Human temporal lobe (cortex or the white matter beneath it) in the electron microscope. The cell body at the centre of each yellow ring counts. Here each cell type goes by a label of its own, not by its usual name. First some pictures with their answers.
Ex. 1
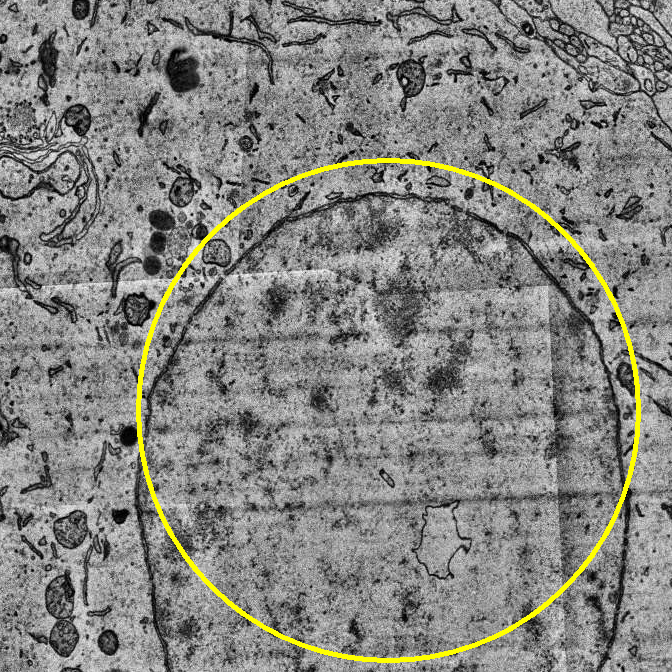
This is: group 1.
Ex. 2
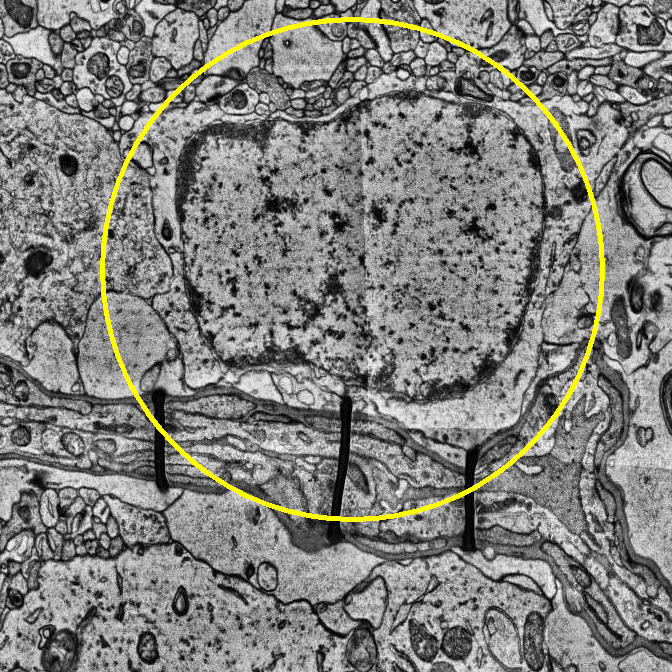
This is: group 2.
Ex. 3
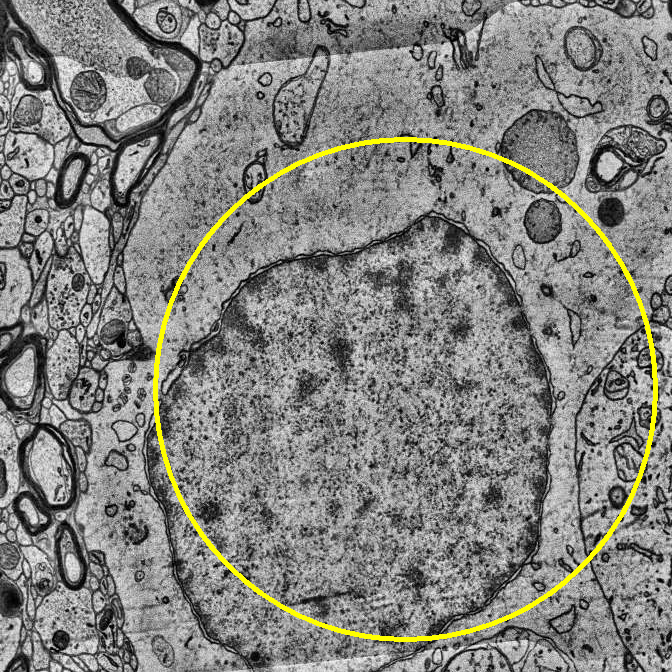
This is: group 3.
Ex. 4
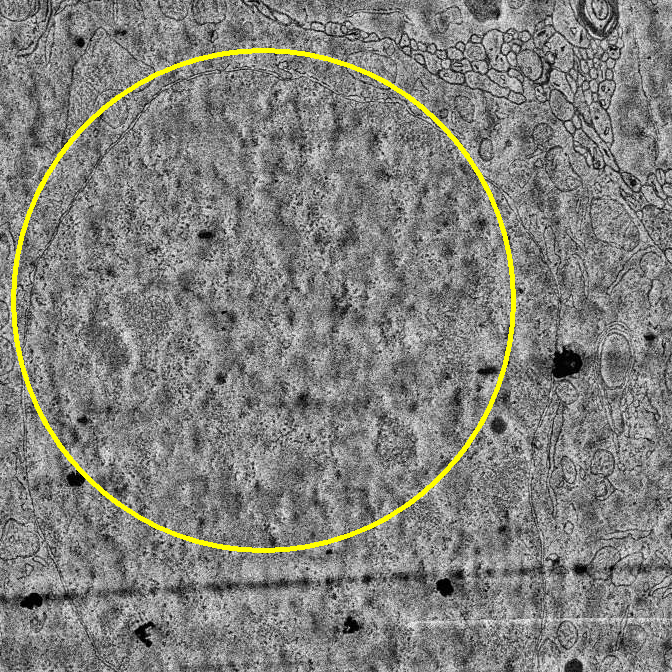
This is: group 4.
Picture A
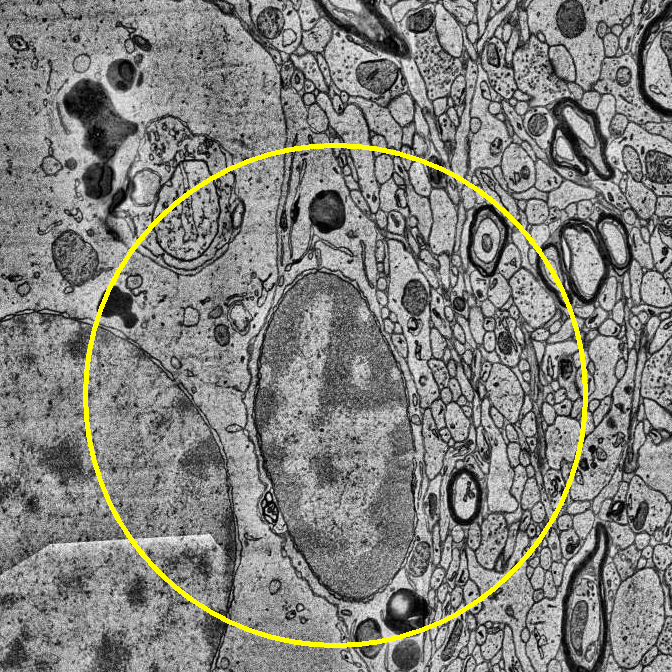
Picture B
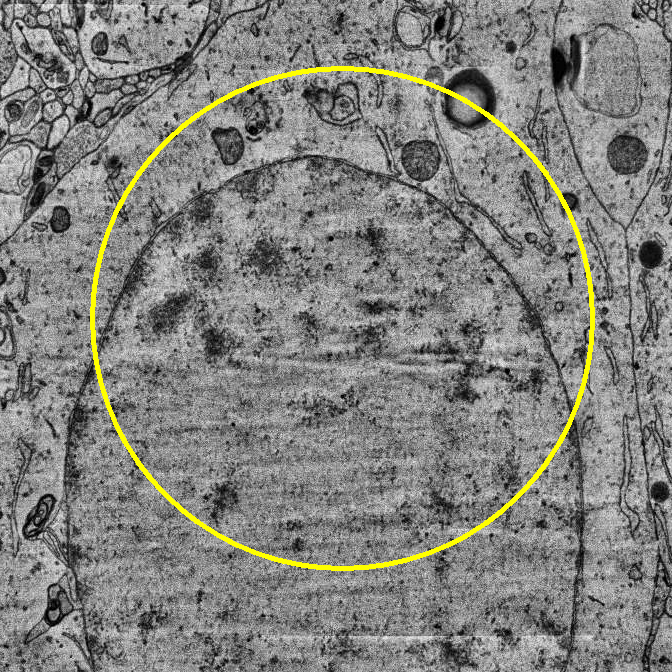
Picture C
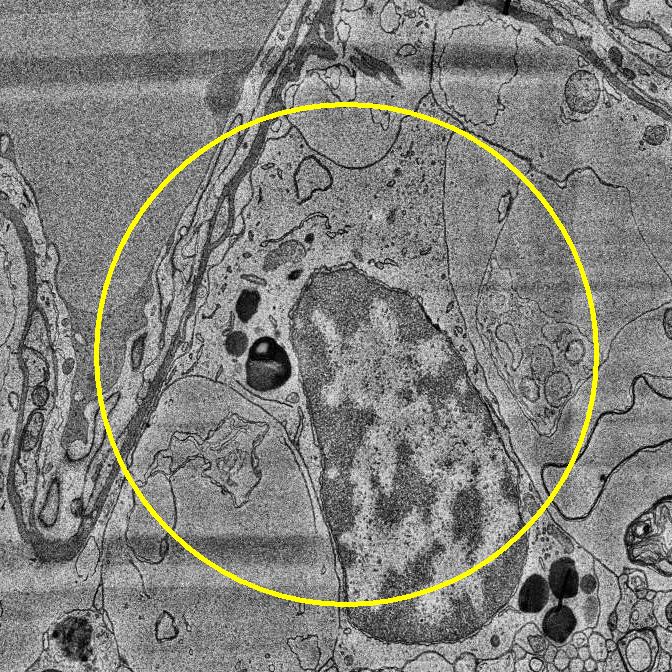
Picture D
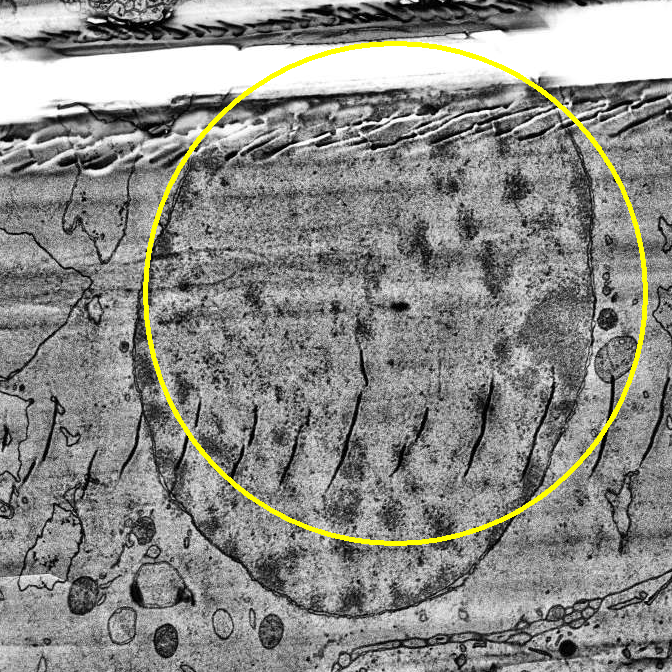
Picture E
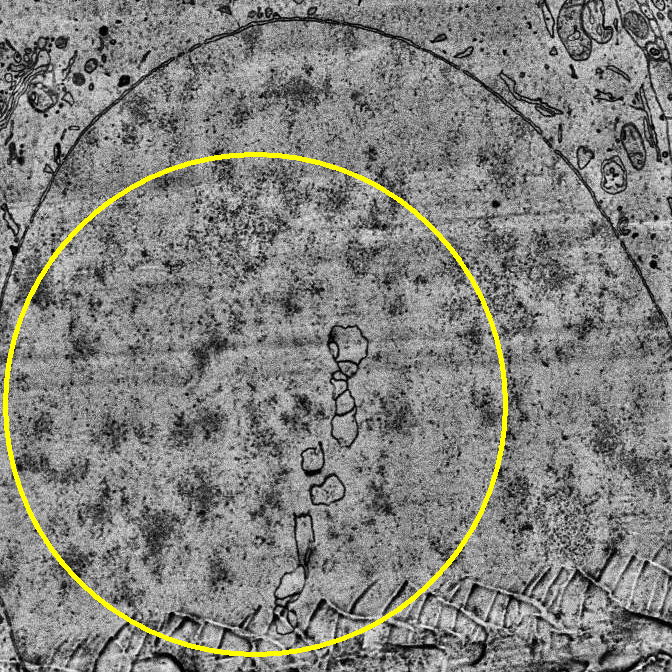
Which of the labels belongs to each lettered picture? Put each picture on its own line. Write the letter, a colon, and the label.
A: group 2.
B: group 1.
C: group 2.
D: group 3.
E: group 1.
